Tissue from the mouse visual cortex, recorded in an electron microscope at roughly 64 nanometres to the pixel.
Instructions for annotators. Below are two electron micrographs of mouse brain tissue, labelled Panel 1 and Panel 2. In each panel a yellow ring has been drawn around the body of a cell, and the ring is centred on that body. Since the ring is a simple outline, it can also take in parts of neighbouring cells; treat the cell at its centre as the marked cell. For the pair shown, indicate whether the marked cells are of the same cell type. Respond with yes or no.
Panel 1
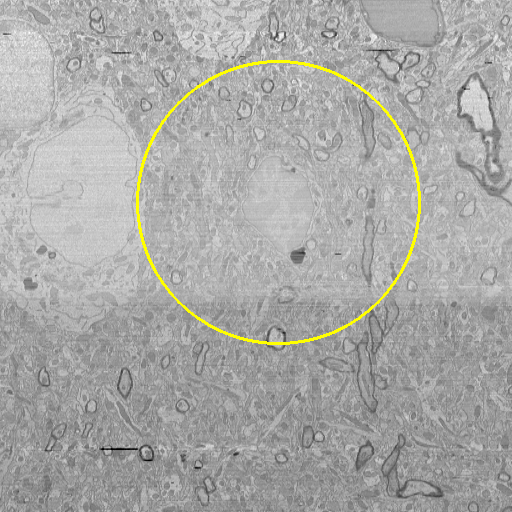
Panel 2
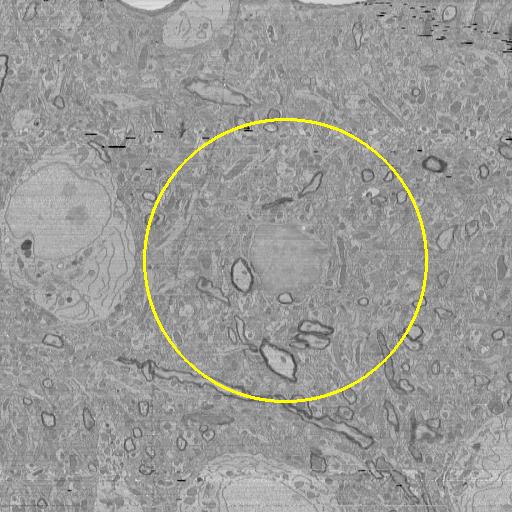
yes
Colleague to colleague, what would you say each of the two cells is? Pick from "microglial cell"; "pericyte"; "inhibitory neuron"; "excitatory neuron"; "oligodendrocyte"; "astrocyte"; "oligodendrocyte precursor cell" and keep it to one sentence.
In each picture the ringed cell is a microglial cell.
